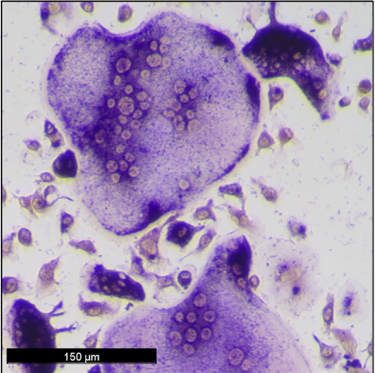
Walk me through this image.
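Cultured osteoclasts appear as very large, flattened, purple-stained cells with irregular outlines, each containing many round pale nuclei clustered toward the centre. Smaller mononuclear cells, some also purple, lie scattered between the giant cells.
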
